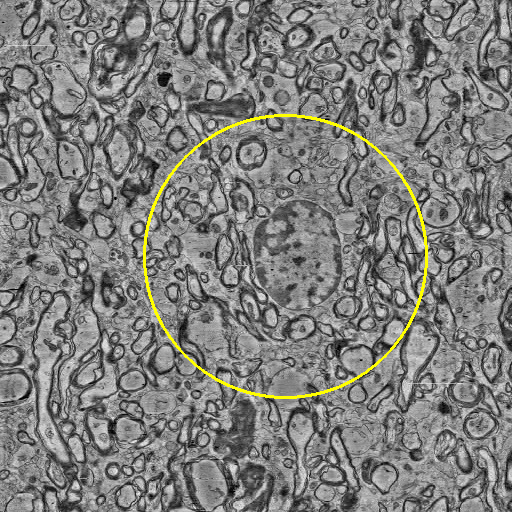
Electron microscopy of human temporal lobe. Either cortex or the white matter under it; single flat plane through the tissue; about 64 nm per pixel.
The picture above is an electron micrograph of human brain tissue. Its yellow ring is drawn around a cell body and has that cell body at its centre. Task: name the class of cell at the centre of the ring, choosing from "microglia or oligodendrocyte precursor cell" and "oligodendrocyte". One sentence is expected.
The ring surrounds the body of a microglial cell or oligodendrocyte precursor cell.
